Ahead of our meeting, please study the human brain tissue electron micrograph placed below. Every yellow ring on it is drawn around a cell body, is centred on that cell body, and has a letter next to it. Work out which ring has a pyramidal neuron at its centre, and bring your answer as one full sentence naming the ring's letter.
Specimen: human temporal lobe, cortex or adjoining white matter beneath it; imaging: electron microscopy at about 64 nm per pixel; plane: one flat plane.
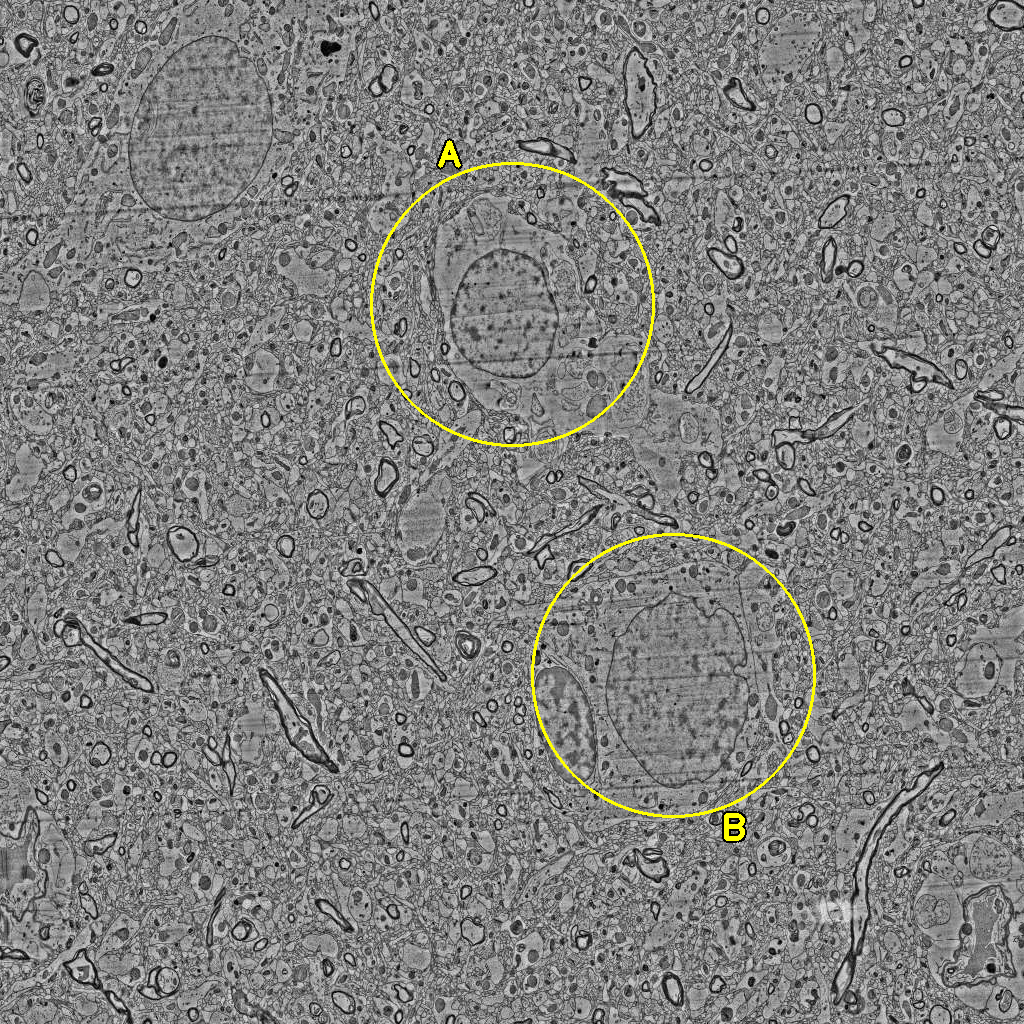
In the micrograph, ring B is the one centred on the cell I was asked to find.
